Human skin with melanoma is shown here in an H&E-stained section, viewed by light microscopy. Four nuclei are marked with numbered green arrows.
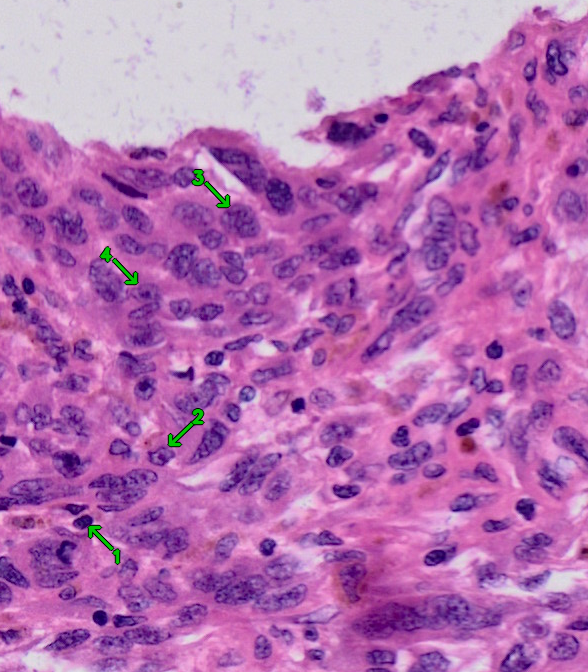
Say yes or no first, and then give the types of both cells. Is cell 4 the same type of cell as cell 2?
Yes, both cells, 4 and 2, are melanoma cells.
